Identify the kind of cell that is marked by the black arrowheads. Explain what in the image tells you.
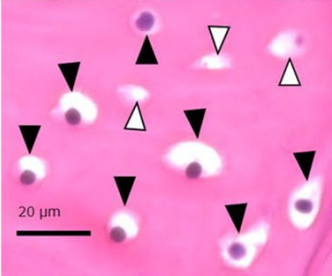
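Pink bone matrix with scattered small clear spaces. Each space marked by a black arrowhead contains a dark purple round nucleus.
Hence: osteocytes.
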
